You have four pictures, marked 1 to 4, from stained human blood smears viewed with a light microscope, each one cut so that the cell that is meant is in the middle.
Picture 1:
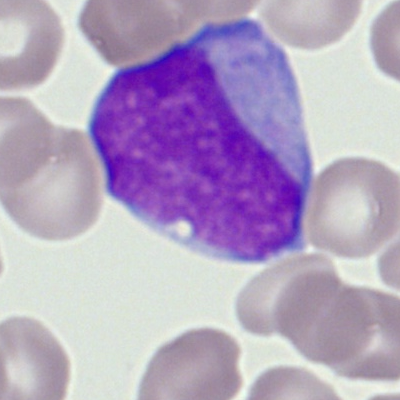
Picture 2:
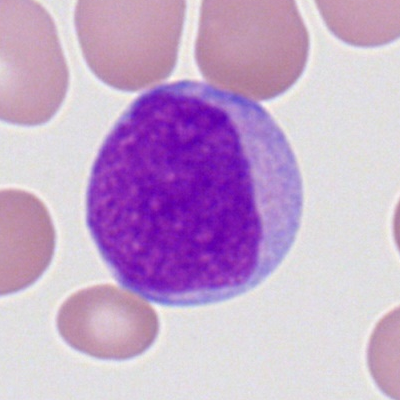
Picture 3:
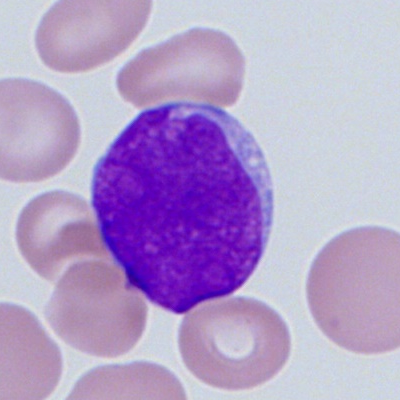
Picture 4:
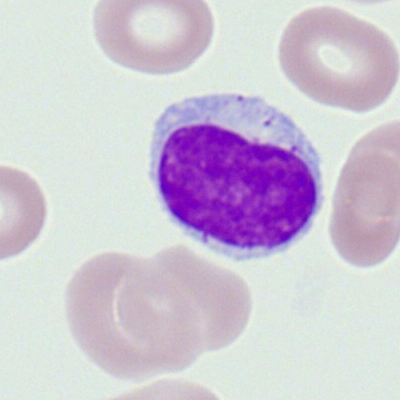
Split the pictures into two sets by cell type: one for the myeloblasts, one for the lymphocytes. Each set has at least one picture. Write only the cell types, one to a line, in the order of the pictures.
myeloblast
myeloblast
myeloblast
lymphocyte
